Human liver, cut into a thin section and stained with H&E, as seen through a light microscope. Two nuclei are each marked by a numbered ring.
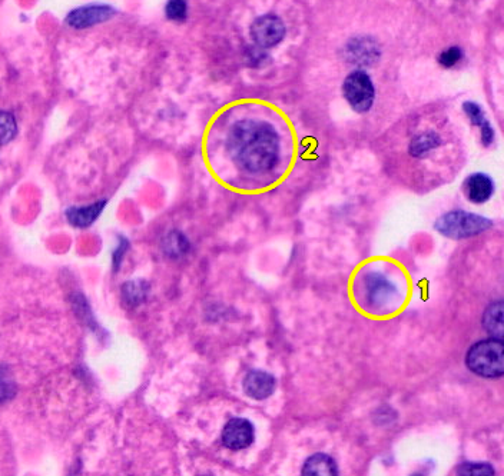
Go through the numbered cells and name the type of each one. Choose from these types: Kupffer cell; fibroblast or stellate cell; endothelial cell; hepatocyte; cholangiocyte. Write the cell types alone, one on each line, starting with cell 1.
endothelial cell
hepatocyte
